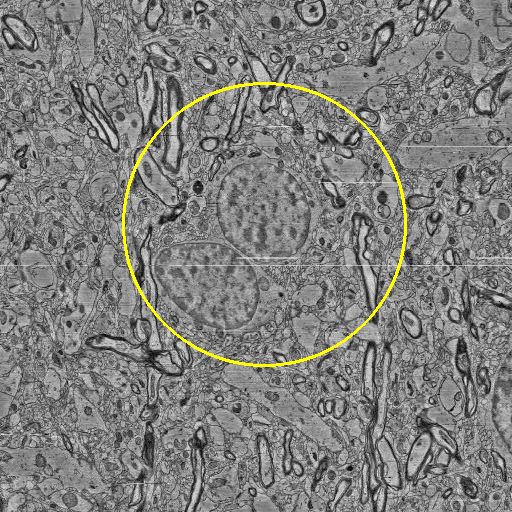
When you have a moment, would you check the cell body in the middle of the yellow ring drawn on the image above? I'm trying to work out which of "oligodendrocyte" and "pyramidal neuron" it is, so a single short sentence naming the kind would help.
This cell body belongs to an oligodendrocyte.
